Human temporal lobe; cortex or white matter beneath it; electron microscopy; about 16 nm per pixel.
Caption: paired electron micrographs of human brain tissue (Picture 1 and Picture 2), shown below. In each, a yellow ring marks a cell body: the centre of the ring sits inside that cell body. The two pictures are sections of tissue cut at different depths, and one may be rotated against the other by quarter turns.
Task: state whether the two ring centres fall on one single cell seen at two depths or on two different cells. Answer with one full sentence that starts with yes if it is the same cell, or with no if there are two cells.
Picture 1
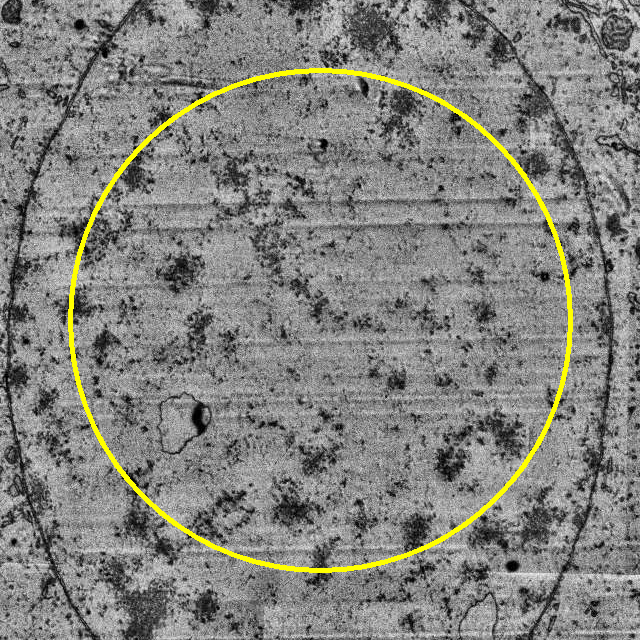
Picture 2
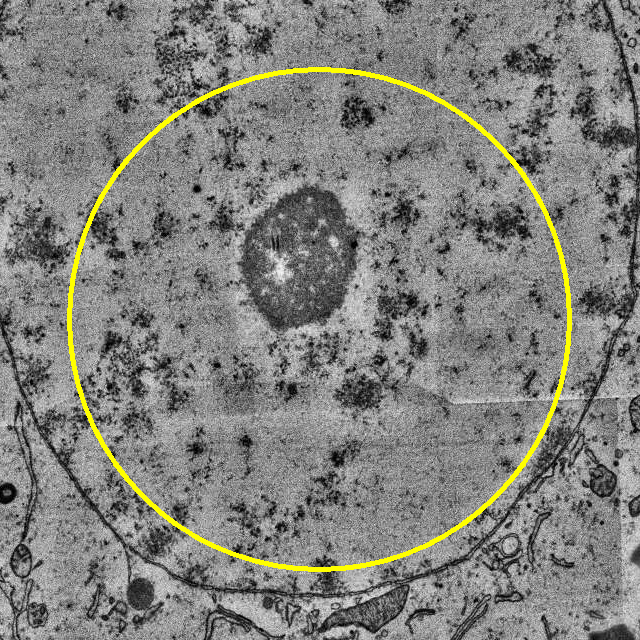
No, the two rings mark two different cells.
